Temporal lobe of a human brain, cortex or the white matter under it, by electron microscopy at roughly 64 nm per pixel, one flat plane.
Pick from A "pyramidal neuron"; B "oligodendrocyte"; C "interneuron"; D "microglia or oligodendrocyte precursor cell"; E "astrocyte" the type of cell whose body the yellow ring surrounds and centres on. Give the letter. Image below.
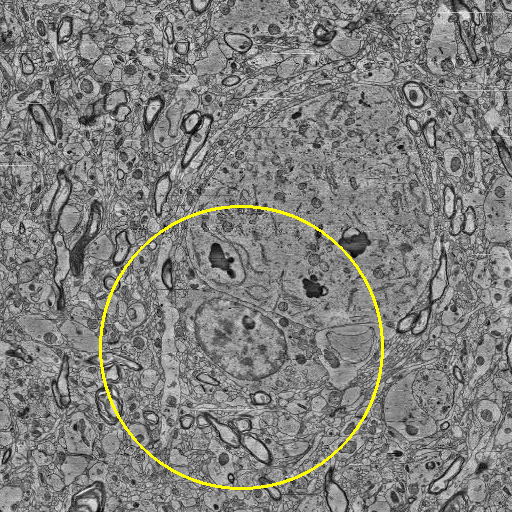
B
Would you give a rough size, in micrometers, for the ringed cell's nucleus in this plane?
About 6 by 4 micrometers for the nucleus, in this plane.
